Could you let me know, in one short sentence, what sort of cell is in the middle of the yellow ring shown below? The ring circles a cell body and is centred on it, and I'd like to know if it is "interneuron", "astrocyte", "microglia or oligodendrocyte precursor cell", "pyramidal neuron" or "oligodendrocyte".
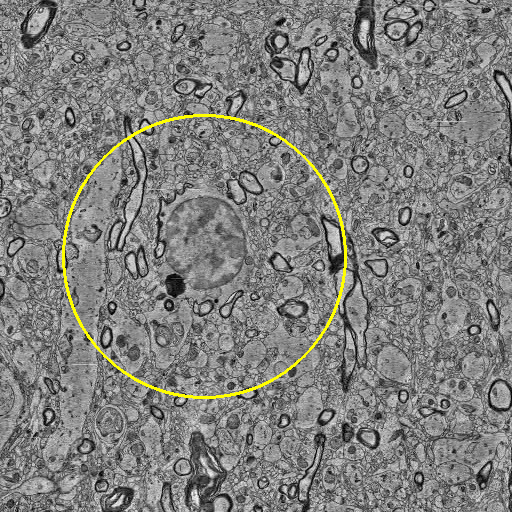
The ring circles the cell body of an oligodendrocyte.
